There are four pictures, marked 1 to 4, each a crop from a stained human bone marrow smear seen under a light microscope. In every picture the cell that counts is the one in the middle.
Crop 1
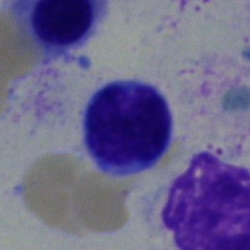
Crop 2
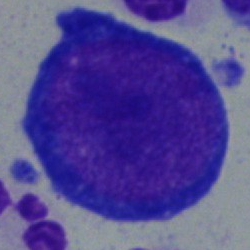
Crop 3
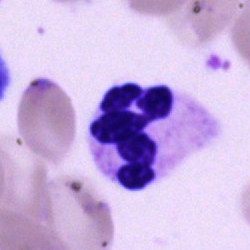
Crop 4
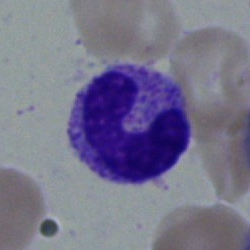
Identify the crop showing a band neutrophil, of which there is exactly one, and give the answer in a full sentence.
When the crops are compared, crop 4 is the one showing a band neutrophil.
